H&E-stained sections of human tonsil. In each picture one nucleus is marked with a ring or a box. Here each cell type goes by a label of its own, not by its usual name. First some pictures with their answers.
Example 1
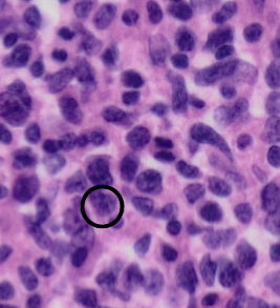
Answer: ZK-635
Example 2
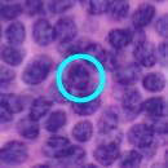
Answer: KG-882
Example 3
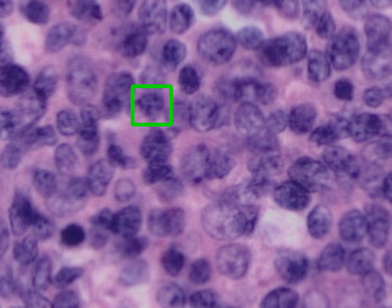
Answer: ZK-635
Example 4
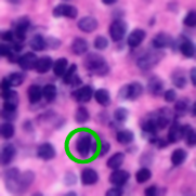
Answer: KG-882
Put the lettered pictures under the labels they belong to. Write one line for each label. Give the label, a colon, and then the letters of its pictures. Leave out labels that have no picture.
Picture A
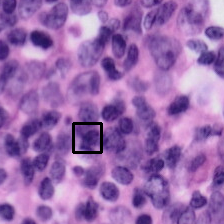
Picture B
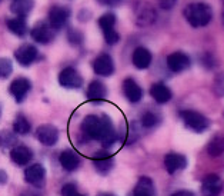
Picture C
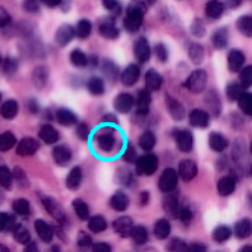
ZK-635: A, B
KG-882: C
